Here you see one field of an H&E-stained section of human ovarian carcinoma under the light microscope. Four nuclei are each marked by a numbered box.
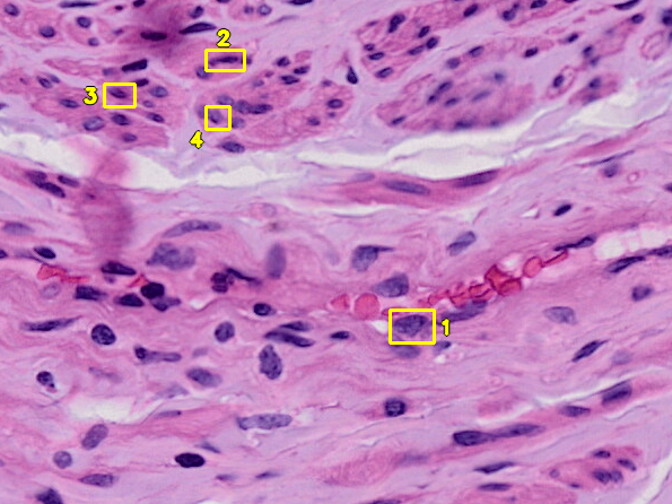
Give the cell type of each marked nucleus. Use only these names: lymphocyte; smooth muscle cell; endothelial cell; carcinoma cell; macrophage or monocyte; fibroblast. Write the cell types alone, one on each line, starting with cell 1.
endothelial cell
smooth muscle cell
smooth muscle cell
smooth muscle cell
